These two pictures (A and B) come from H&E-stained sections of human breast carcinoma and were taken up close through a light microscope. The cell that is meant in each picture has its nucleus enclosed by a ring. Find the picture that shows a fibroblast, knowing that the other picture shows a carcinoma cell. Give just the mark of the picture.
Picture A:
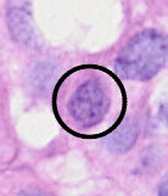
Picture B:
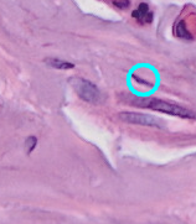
B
